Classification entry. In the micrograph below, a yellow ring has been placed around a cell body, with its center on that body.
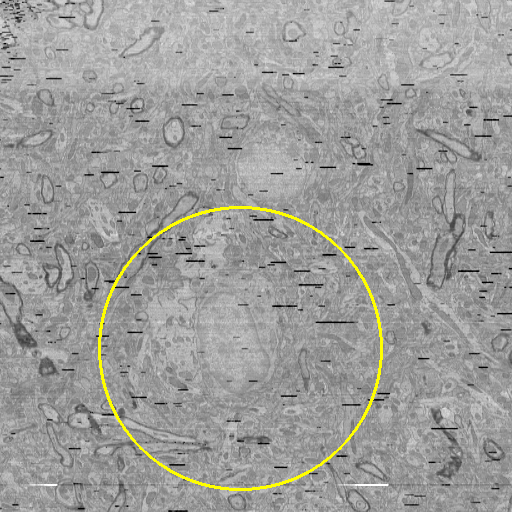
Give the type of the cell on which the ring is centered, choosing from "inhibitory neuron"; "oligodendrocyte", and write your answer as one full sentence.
The cell body at the center of the yellow ring belongs to an oligodendrocyte.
